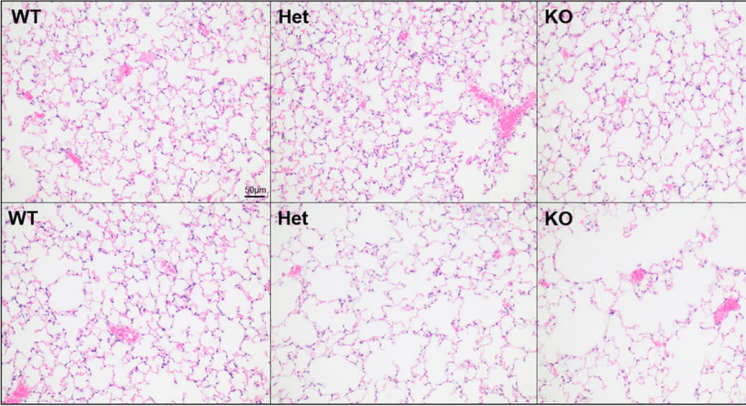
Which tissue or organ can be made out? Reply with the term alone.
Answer: Lung parenchyma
